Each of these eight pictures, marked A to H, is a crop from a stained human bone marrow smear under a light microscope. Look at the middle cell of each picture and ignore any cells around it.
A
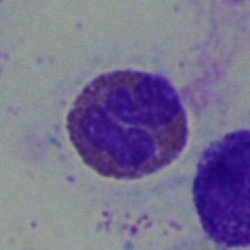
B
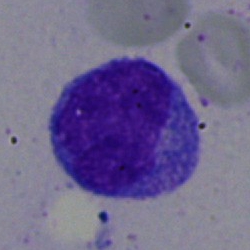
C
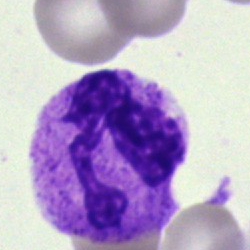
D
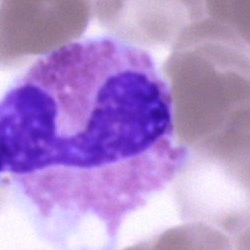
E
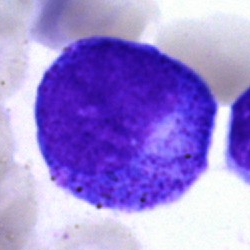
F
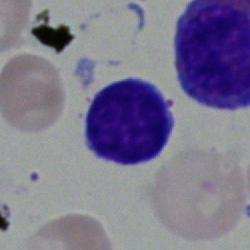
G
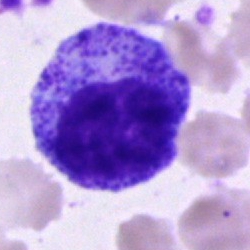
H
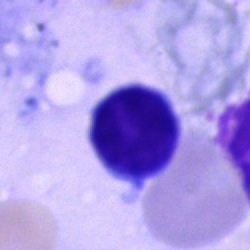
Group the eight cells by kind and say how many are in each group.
promyelocyte: 3
eosinophil: 2
lymphocyte: 2
neutrophil: 1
